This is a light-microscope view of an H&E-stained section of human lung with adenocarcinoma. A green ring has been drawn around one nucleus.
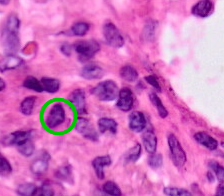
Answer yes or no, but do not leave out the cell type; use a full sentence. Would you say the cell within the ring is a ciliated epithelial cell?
No, the cell within the ring is a plasma cell in this section, not a ciliated epithelial cell.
